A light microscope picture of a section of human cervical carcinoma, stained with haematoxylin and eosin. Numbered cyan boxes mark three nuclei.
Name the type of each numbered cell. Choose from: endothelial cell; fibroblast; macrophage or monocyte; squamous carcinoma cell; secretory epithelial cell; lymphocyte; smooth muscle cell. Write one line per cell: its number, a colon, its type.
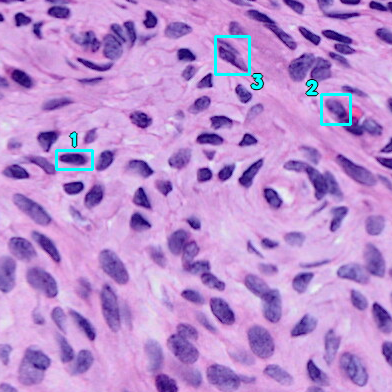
1: fibroblast
2: endothelial cell
3: fibroblast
